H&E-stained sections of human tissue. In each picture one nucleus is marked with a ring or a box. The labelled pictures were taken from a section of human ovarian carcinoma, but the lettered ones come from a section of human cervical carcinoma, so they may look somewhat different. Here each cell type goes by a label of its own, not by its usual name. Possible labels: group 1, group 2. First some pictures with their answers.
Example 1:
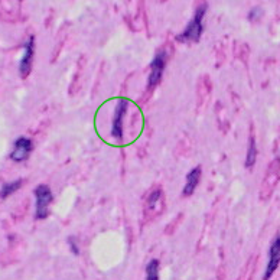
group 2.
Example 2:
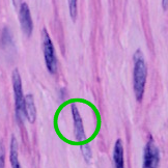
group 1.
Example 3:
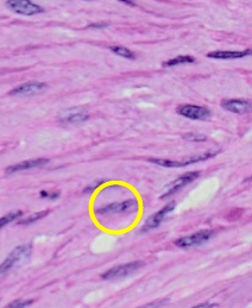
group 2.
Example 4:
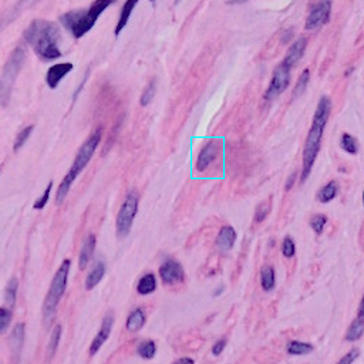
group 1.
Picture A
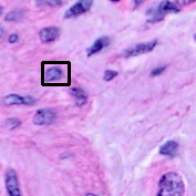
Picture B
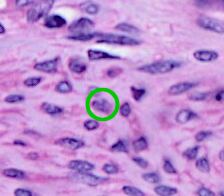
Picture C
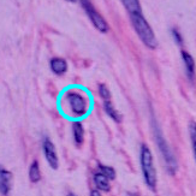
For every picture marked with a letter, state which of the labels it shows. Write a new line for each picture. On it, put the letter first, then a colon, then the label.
A: group 1.
B: group 1.
C: group 1.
